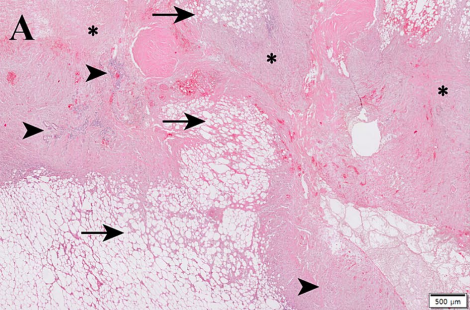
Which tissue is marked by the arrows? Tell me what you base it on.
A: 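The arrows point to large areas of clear, empty, polygonal vacuoles with thin walls. These areas look like a net of fat cells.
Conclusion: adipose tissue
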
